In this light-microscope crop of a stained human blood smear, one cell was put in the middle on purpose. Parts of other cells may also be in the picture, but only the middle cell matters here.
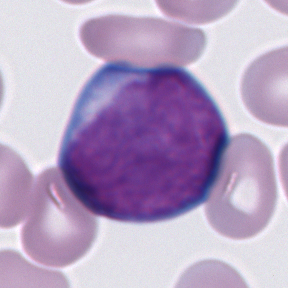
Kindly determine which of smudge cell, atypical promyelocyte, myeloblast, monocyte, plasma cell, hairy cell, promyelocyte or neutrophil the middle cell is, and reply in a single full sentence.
This crop is built around a myeloblast at its centre.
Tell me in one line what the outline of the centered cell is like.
If you check the edge, you will find it smooth without projections.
